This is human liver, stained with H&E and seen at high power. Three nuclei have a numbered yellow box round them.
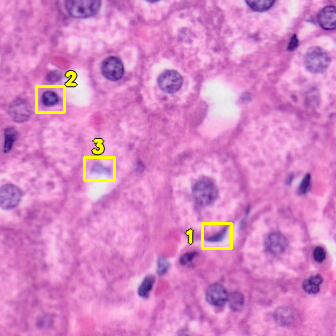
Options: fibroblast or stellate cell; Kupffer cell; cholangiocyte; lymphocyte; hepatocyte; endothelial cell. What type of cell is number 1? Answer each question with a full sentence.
The cell indicated by marker 1 is an endothelial cell in this section.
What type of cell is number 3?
Cell 3 in the field of view is an endothelial cell.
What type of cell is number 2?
Regarding cell 2, this one is a lymphocyte.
